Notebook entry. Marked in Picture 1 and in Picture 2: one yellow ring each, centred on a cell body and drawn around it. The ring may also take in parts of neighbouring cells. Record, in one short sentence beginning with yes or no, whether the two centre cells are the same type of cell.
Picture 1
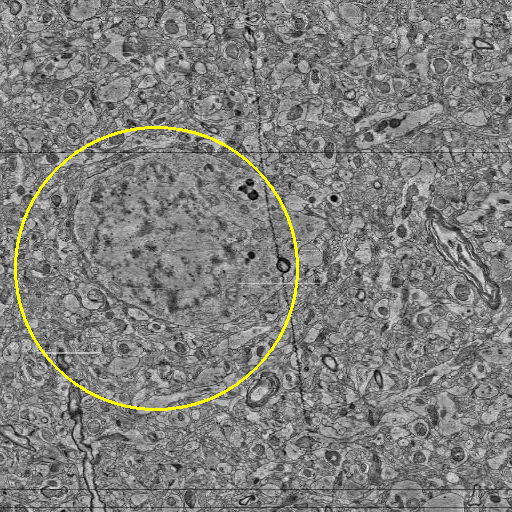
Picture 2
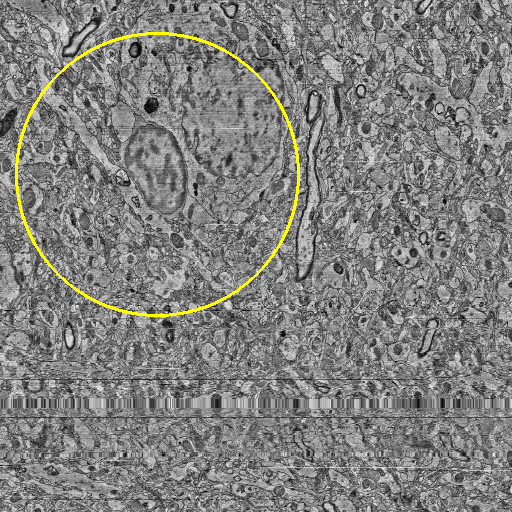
No, they are two types of cell.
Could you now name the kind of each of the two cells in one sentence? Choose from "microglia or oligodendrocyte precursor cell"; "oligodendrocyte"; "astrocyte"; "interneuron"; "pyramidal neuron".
The first ring encloses an interneuron; the second ring encloses an oligodendrocyte.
